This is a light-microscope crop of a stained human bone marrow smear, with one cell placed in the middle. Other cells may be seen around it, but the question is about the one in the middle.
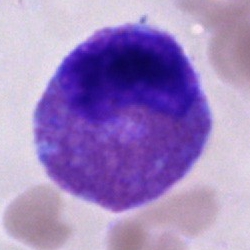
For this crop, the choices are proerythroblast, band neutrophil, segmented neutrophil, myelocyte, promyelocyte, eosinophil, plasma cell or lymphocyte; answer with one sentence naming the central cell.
The identification for the central cell is an eosinophil.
